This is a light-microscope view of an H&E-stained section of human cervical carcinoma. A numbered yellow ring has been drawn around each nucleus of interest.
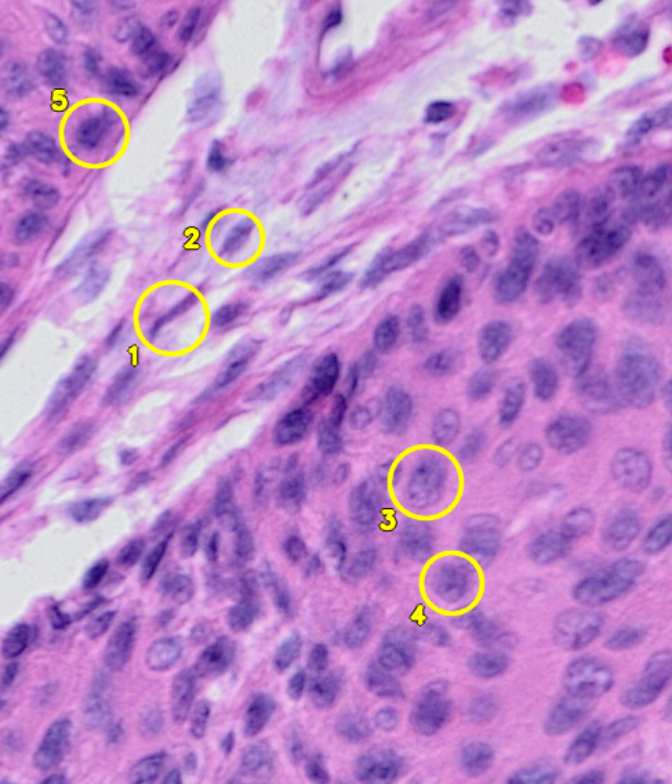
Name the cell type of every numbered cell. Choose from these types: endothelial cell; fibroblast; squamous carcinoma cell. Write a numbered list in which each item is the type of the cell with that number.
1. fibroblast
2. fibroblast
3. squamous carcinoma cell
4. squamous carcinoma cell
5. squamous carcinoma cell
